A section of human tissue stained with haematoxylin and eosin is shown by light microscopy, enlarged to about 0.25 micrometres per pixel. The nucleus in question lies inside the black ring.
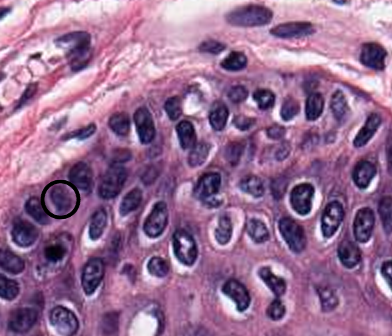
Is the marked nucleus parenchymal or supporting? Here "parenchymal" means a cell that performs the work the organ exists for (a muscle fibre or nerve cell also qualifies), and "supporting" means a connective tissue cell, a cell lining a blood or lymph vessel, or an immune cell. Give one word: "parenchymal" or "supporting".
parenchymal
